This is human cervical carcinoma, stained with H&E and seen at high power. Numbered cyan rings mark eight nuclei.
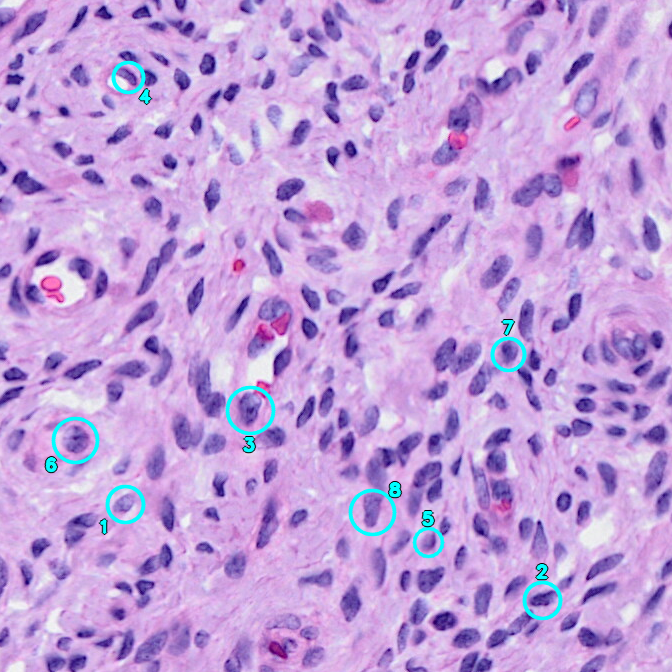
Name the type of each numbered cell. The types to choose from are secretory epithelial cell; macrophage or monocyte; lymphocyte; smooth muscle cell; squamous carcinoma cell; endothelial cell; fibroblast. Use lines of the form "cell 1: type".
cell 1: fibroblast
cell 2: fibroblast
cell 3: endothelial cell
cell 4: endothelial cell
cell 5: fibroblast
cell 6: endothelial cell
cell 7: fibroblast
cell 8: fibroblast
